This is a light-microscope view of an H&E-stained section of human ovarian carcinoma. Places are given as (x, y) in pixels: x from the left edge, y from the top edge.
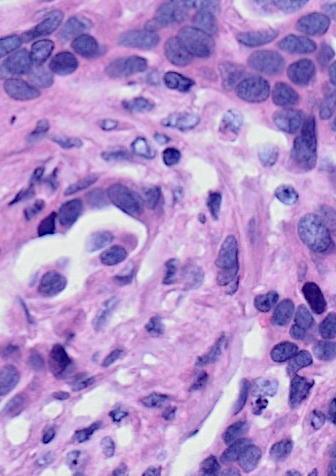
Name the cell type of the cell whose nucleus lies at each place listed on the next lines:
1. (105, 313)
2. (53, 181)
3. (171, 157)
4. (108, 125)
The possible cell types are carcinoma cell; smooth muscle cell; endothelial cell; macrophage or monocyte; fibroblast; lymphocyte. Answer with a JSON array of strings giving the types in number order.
["fibroblast", "fibroblast", "lymphocyte", "fibroblast"]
